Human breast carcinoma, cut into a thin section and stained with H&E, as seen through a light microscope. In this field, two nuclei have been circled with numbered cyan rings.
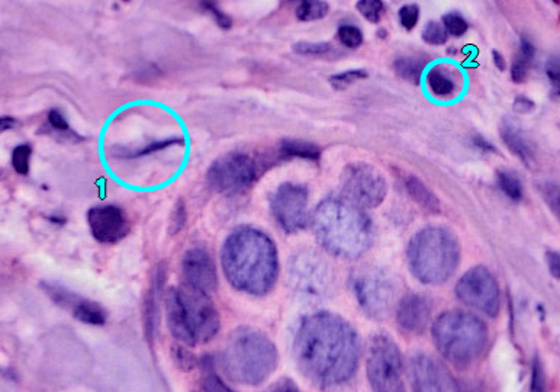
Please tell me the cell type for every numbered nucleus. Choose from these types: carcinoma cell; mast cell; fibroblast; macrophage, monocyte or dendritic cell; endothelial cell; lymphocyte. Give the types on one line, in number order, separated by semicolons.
fibroblast; lymphocyte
